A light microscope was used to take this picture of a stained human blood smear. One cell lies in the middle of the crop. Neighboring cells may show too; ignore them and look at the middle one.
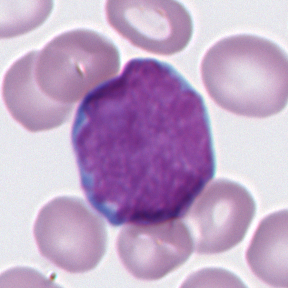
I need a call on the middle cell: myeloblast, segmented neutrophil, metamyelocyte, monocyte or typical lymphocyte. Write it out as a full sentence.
This particular crop is centered on a myeloblast.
